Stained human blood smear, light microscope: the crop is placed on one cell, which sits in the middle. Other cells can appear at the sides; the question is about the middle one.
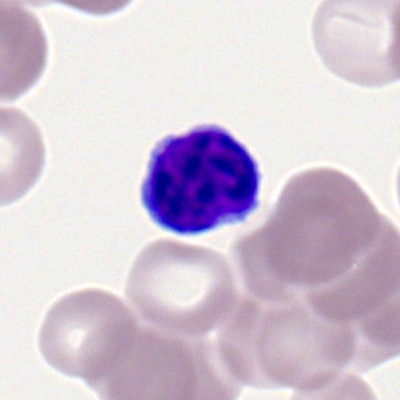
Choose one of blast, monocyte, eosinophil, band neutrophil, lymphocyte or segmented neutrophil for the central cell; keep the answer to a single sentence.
Regarding the central cell, it is a lymphocyte.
